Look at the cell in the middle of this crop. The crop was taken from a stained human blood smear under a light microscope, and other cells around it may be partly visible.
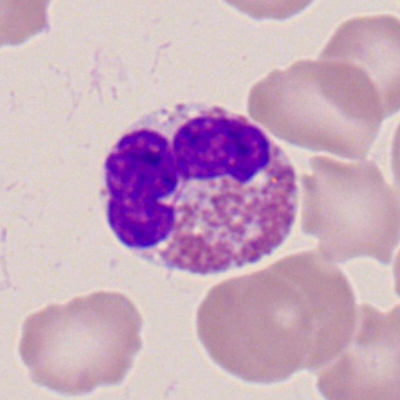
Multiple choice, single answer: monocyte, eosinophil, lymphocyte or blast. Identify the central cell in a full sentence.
In the middle of this smear crop is an eosinophil.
